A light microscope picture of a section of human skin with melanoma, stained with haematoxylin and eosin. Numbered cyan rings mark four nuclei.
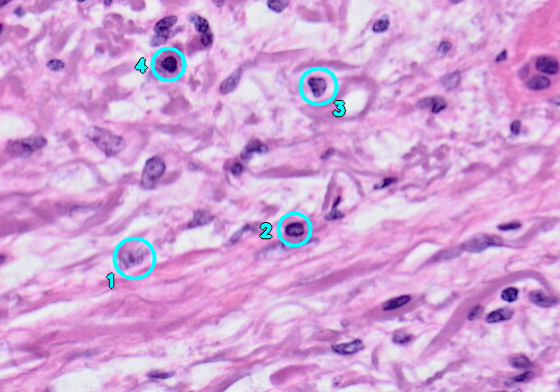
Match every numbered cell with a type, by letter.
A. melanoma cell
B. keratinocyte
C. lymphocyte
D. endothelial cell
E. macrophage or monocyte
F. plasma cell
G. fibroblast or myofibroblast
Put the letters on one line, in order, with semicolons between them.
G; F; C; F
